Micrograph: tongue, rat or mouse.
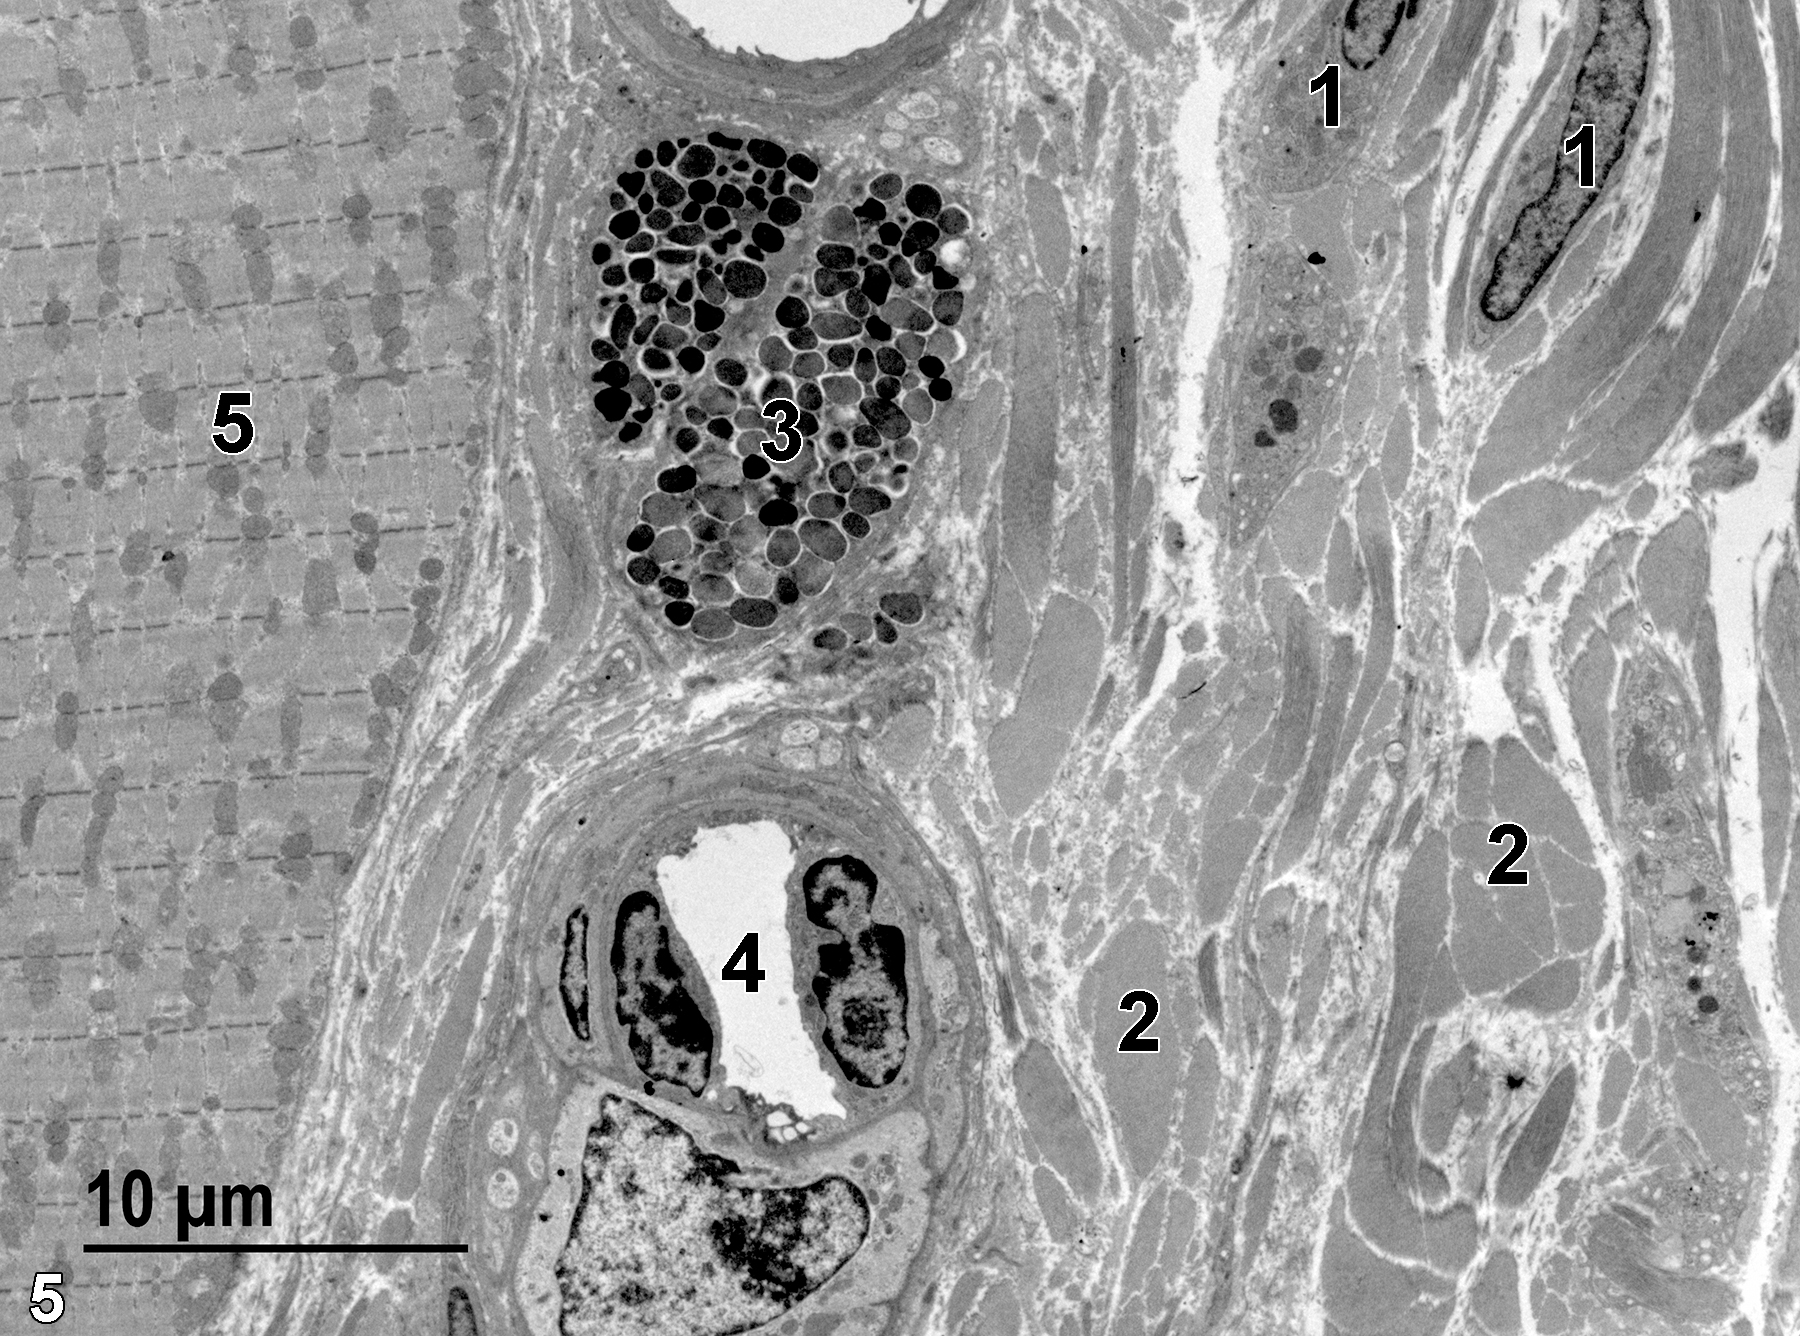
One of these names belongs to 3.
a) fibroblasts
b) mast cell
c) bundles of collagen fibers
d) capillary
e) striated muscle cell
b) mast cell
